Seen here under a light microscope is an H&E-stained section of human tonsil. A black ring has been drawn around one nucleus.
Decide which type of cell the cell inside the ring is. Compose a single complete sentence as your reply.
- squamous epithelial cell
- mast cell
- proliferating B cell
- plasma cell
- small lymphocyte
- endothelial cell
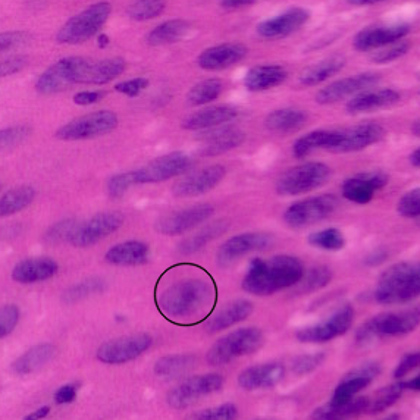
In this tissue sample, the cell inside the ring is a squamous epithelial cell.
